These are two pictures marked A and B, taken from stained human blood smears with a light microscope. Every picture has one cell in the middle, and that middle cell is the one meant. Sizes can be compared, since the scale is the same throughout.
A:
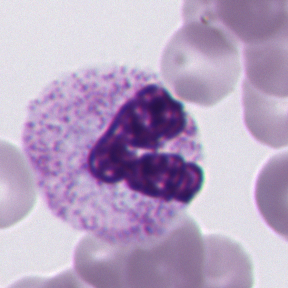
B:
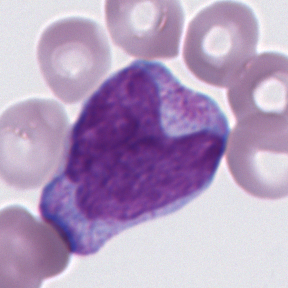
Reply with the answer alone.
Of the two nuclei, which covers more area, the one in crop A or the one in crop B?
B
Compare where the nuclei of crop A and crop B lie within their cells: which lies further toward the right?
A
